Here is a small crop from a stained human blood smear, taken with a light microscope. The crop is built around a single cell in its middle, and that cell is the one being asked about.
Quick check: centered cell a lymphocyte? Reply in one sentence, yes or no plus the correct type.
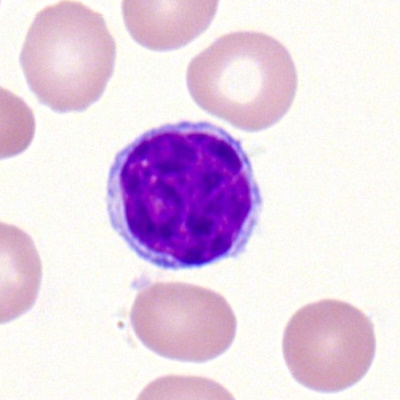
Yes, the crop's central cell is a lymphocyte.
